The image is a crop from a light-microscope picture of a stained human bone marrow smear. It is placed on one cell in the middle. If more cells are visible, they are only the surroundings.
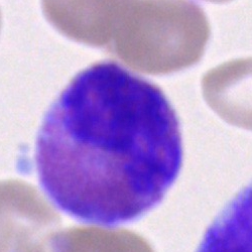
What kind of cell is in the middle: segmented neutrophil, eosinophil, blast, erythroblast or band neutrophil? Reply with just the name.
eosinophil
